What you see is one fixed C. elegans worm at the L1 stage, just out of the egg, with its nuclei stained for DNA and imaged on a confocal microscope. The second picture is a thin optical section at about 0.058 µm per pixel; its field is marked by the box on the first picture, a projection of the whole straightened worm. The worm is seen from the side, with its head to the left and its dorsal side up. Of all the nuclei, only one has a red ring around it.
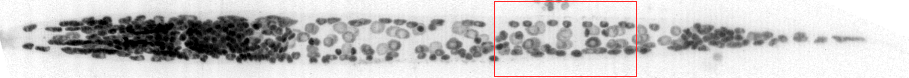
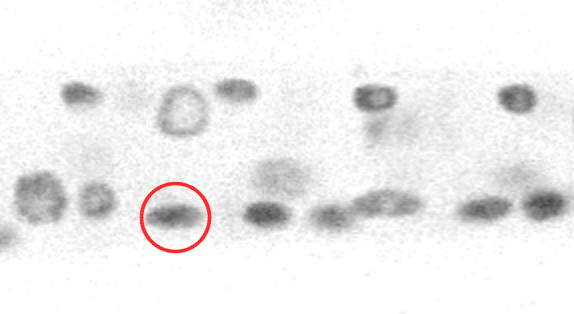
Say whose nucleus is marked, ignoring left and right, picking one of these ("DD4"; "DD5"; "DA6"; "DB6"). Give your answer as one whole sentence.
It is the nucleus of DD4, a neuron.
